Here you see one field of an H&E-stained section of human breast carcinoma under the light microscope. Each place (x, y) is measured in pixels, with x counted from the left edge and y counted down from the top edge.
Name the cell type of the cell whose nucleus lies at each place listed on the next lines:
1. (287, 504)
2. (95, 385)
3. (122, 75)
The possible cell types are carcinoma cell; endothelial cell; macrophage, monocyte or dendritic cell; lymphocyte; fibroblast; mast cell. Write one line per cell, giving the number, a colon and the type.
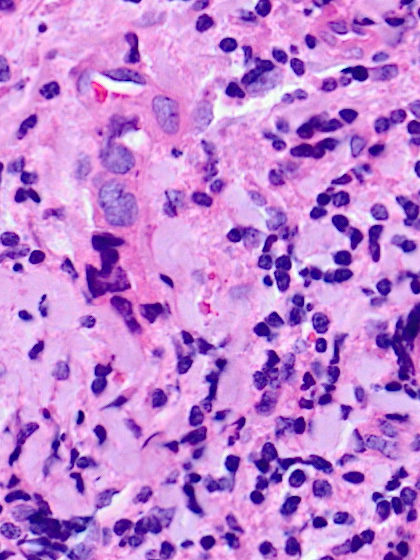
1: lymphocyte
2: lymphocyte
3: endothelial cell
